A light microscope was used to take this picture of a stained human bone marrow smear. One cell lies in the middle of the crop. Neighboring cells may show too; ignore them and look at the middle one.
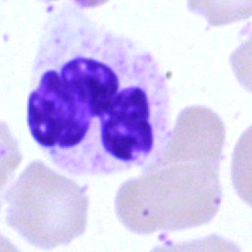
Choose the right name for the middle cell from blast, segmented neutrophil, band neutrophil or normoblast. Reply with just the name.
segmented neutrophil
